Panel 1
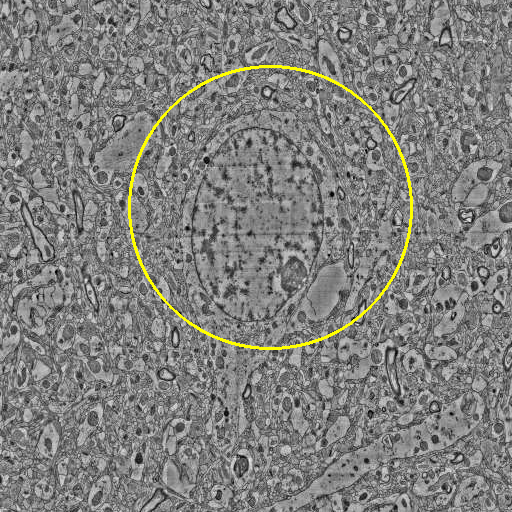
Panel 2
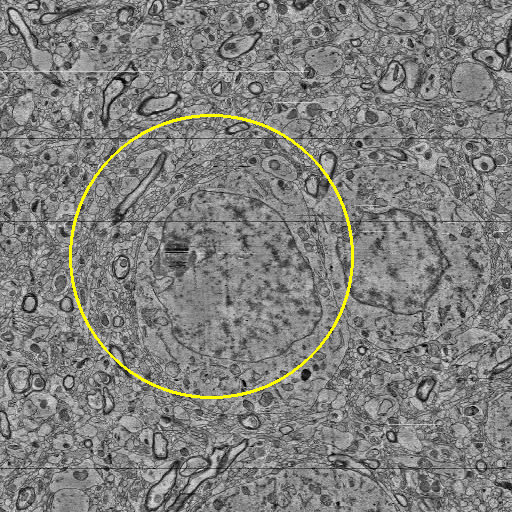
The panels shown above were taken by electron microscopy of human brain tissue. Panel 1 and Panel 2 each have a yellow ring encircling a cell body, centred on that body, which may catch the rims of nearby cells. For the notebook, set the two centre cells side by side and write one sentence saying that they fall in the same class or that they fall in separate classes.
The centred cells of Panel 1 and Panel 2 fall in the same class.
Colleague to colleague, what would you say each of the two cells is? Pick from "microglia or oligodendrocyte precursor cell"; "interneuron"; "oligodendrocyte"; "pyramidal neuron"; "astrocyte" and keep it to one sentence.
Each of the ringed cells, first and second, is a pyramidal neuron.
